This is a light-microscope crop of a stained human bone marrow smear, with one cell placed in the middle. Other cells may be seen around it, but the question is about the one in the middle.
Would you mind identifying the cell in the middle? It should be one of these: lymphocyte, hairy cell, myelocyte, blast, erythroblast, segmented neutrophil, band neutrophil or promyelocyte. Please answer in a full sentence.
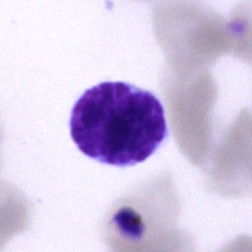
In the crop, the cell of interest at the centre is a lymphocyte.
